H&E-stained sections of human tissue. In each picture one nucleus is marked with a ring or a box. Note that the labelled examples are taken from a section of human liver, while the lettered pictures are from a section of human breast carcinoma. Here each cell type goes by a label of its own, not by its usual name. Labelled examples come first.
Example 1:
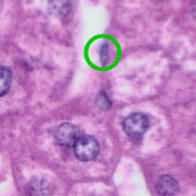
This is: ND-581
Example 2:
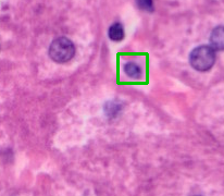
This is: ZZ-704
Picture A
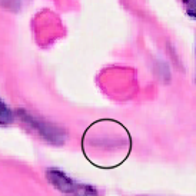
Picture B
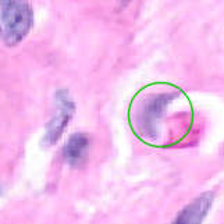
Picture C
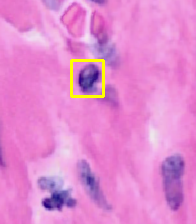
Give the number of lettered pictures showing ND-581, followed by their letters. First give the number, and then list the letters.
Count: 2 (A, B)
